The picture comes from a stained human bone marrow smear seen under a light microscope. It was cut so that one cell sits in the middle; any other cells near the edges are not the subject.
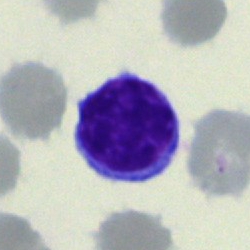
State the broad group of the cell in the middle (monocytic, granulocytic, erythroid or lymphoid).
lymphoid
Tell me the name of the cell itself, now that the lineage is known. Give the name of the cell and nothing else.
lymphocyte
